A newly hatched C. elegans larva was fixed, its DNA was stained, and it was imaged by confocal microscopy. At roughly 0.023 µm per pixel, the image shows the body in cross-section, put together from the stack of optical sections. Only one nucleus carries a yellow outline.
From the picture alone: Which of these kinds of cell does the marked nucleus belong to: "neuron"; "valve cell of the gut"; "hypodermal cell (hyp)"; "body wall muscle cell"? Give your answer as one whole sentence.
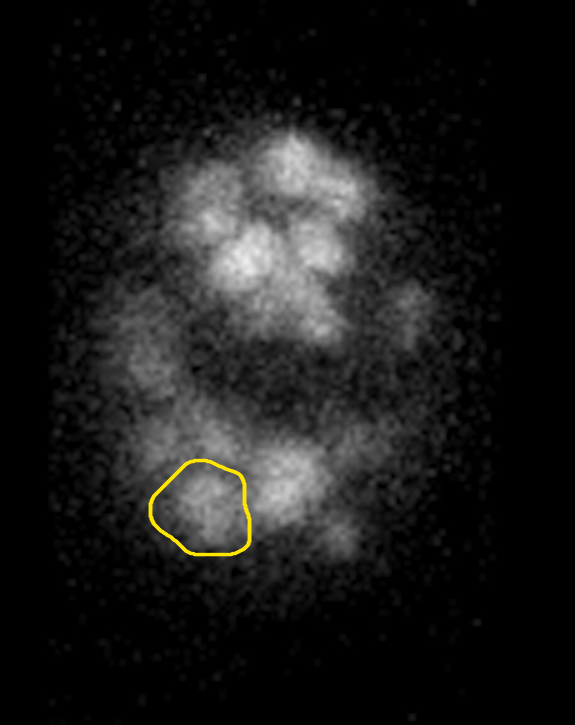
The nucleus comes from a body wall muscle cell.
